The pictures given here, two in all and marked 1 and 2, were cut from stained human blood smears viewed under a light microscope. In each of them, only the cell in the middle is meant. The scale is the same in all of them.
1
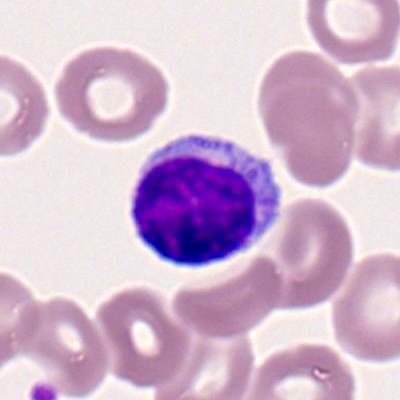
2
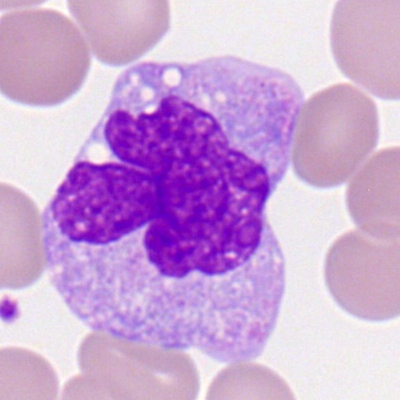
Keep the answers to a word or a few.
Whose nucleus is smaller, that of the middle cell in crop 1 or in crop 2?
1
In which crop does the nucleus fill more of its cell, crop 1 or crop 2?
1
